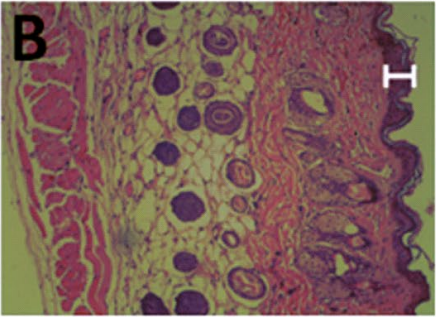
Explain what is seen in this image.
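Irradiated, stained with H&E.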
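This is a section through skin, with the epidermis as a dense purple band along the right-hand surface, marked by a white bracket, and it looks broad and undulating. Beneath it the dermis is pink and fibrous, and deeper still many hair follicles are cut across as round purple profiles lying among pale fat, with a band of pink muscle at the far left.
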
